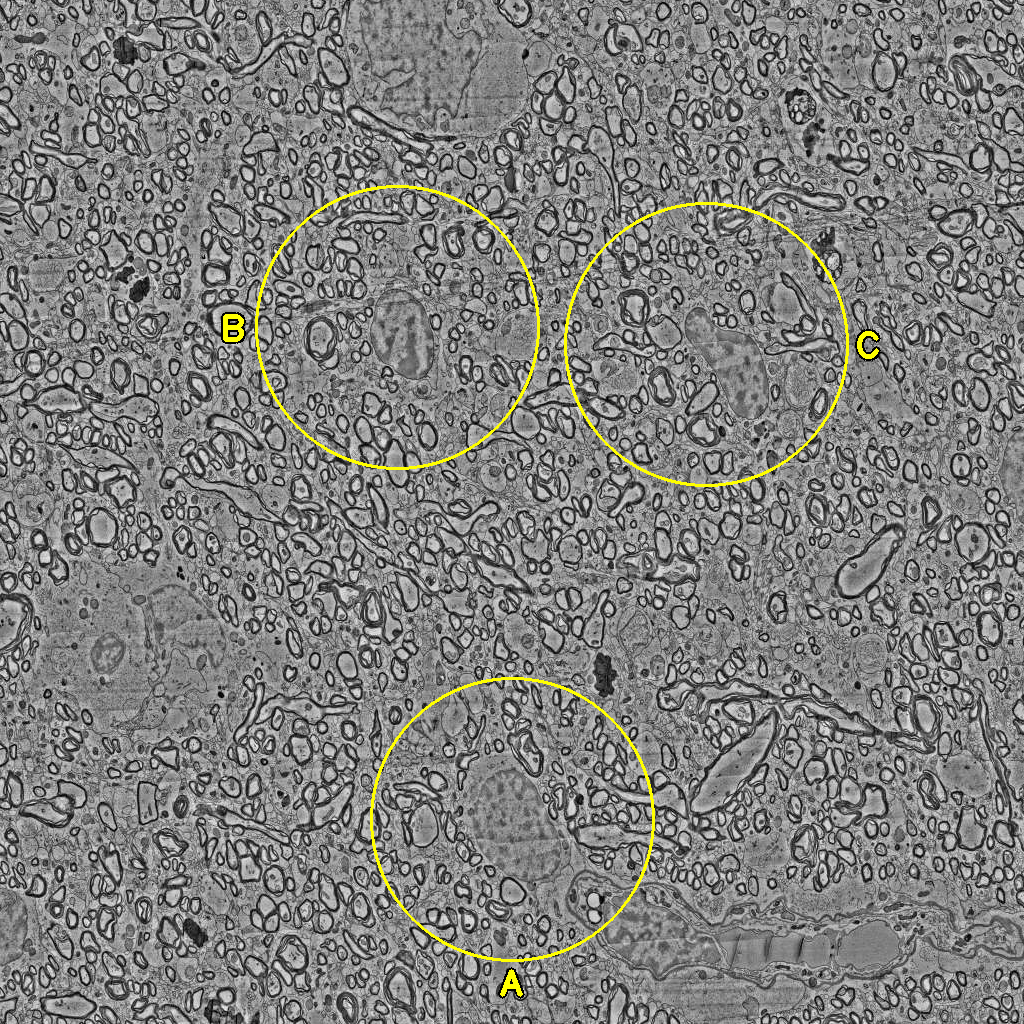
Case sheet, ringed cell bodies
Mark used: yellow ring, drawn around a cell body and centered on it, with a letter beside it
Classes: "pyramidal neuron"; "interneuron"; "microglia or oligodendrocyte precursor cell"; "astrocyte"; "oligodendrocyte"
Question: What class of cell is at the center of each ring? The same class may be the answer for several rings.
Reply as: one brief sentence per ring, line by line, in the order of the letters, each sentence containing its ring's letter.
Ring A has an oligodendrocyte at its center.
Ring B has a microglial cell or oligodendrocyte precursor cell at its center.
Ring C has a microglial cell or oligodendrocyte precursor cell at its center.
